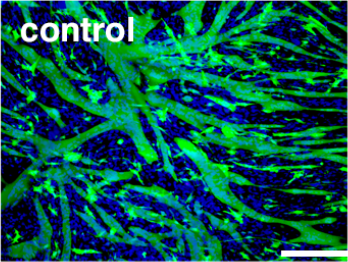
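This is a culture of differentiated cells seen by fluorescence, with green cell bodies over a dense field of blue nuclei. Many green cells are long, spindle-shaped and fibre-like, stretching across much of the field. They run in different directions, crossing and overlapping one another, and are densest toward the upper middle. Between them, countless small blue nuclei cover the dish as a crowded layer.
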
